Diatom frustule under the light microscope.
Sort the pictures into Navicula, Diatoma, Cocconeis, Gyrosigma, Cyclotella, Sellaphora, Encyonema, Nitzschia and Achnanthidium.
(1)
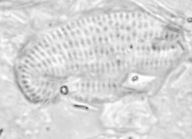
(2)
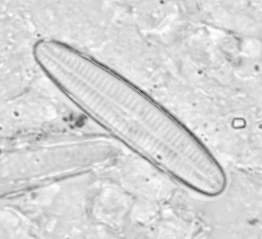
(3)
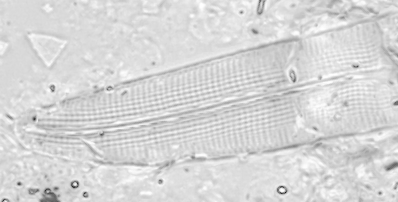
Cocconeis: 1
Achnanthidium: 2
Gyrosigma: 3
